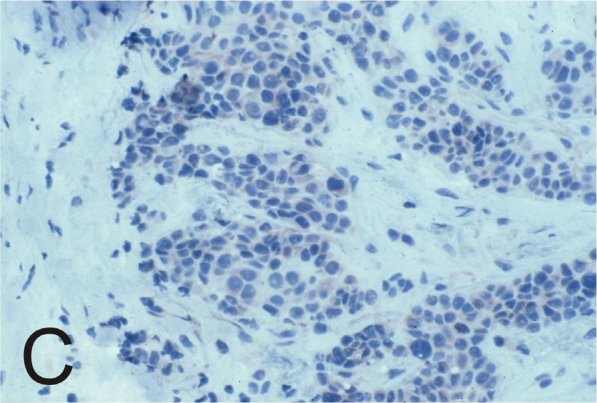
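The tumor cells are closely set, with round to oval blue nuclei of somewhat varying size and only a thin rim of cytoplasm that is at most faintly pinkish. In the stroma lie scattered small, elongated, darker nuclei of stromal cells. The contrast between crowded epithelial clusters and the sparse, almost empty-looking stroma makes the infiltrating pattern of the tumor easy to follow, while brown colour is nearly absent throughout.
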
